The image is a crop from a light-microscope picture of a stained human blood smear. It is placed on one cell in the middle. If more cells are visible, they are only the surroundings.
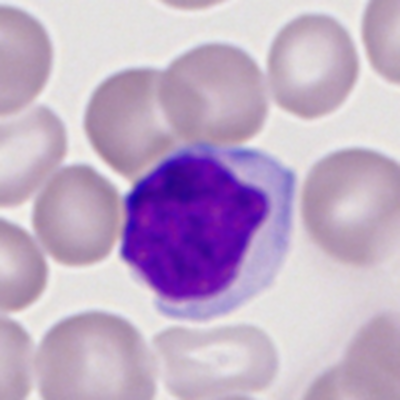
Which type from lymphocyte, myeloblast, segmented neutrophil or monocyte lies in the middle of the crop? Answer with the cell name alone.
lymphocyte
